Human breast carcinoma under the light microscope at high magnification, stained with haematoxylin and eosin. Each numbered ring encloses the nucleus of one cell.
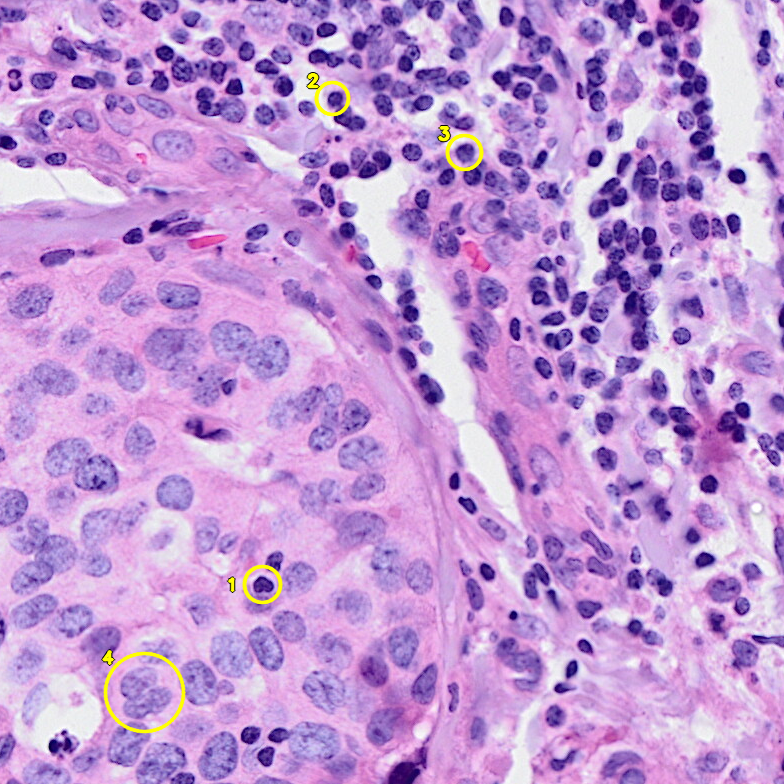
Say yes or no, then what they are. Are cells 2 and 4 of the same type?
No, cell 2 is categorized as a lymphocyte, while cell 4 is categorized as a carcinoma cell.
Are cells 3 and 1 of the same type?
Yes, the two cells marked 3 and 1 are both lymphocytes.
